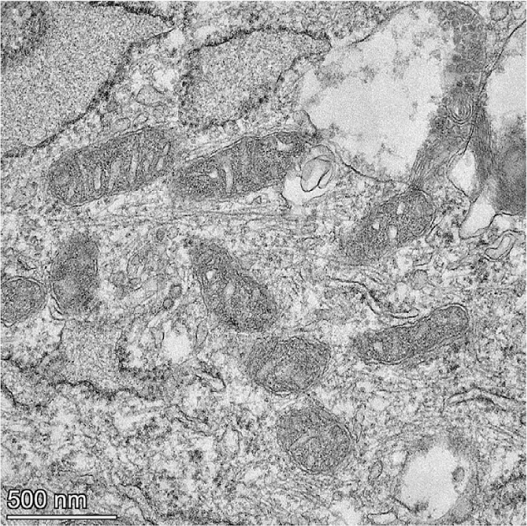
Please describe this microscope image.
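The mitochondria are short, oval or bean-shaped profiles scattered through the field rather than long tubes. Each is bounded by a double membrane and has cristae within a fairly dense matrix, some appearing irregular. Pale, electron-lucent spaces and vacuole-like areas lie toward the upper and lower right. Membrane profiles and fine filaments fill the cytoplasm between them.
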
